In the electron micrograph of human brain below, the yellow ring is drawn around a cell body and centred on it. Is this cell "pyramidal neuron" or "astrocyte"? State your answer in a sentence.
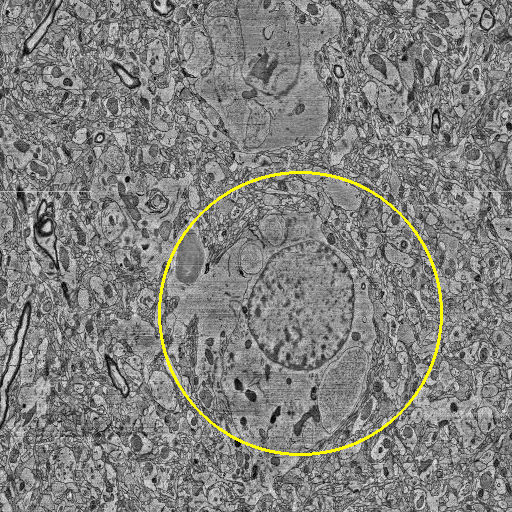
The cell in the middle of the ring is an astrocyte.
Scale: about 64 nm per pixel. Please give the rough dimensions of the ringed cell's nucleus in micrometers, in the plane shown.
In this plane, about 8 micrometres in length and 7 in width.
